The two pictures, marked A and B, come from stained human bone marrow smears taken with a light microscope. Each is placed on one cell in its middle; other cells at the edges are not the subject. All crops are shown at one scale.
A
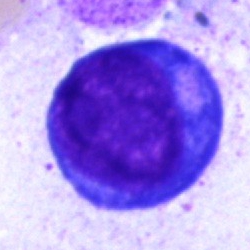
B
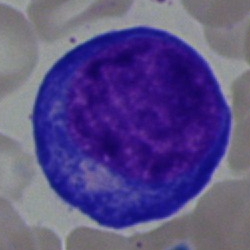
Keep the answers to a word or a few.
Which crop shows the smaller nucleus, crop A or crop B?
A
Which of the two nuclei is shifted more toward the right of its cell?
B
